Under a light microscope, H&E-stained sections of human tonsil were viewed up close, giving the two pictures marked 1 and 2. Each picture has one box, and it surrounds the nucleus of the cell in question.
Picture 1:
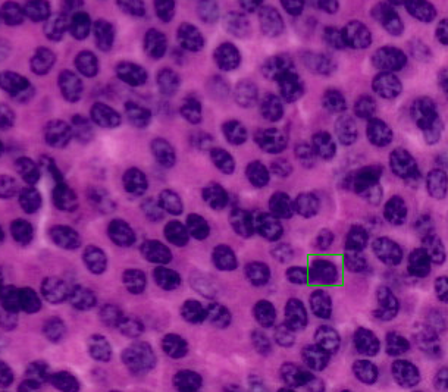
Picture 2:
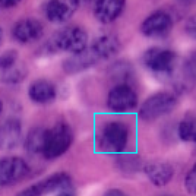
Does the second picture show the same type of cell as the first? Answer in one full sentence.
Yes, they are the same type: both are plasma cells.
